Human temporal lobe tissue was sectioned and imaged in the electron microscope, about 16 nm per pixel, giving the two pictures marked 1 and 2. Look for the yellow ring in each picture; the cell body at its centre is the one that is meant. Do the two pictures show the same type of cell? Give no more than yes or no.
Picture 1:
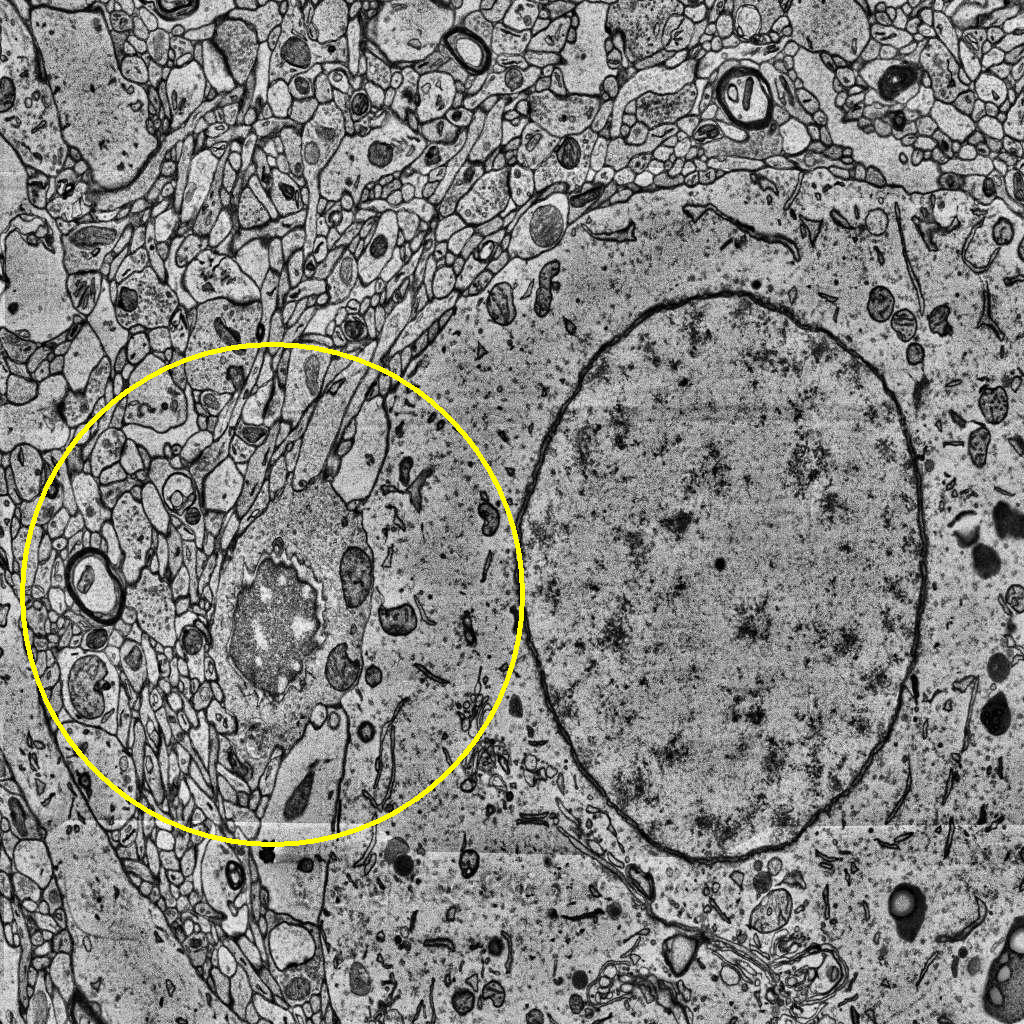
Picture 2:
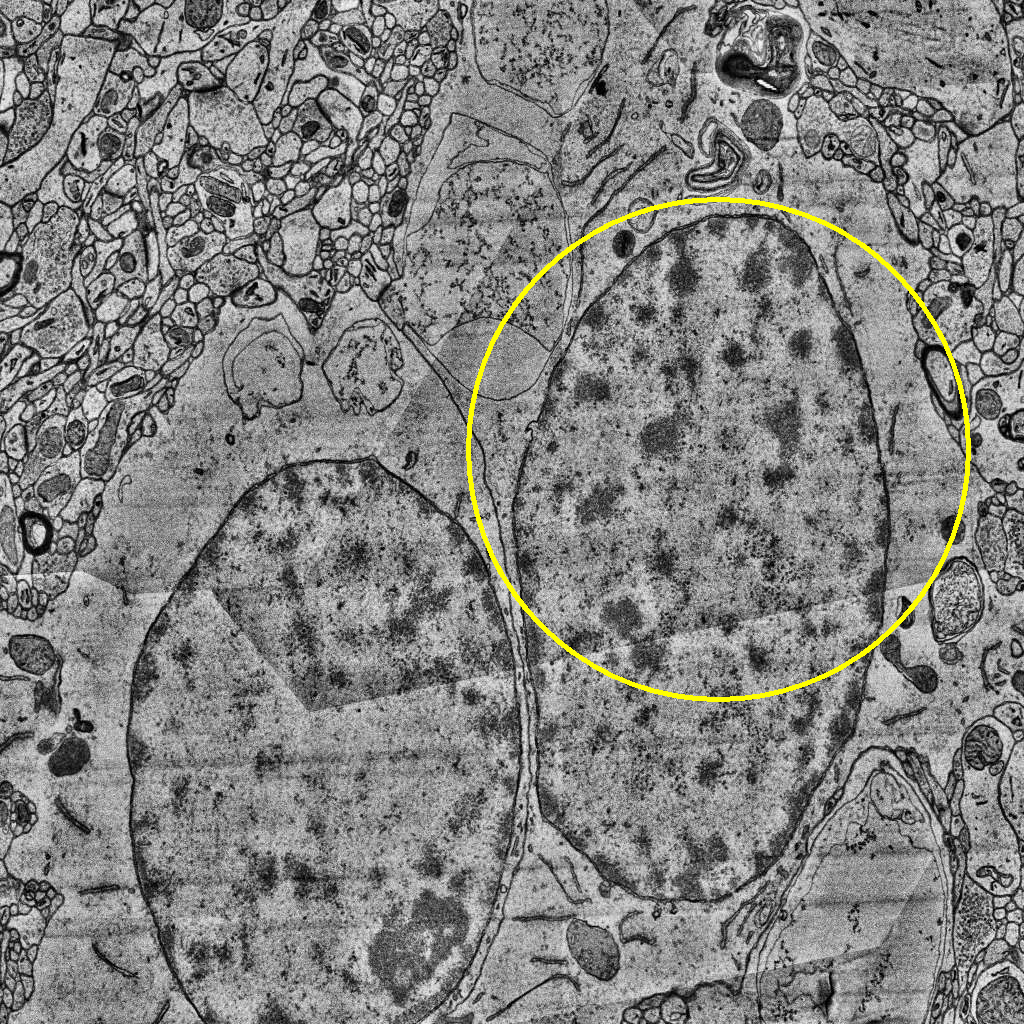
no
